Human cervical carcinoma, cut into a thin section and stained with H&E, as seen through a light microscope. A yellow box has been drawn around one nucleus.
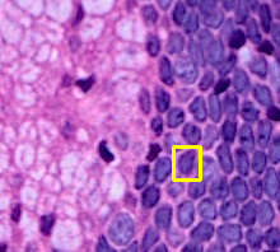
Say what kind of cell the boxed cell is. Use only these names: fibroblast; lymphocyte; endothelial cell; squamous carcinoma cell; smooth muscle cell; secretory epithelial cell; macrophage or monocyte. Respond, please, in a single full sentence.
Cytologically, the boxed cell is to be regarded as a secretory epithelial cell.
